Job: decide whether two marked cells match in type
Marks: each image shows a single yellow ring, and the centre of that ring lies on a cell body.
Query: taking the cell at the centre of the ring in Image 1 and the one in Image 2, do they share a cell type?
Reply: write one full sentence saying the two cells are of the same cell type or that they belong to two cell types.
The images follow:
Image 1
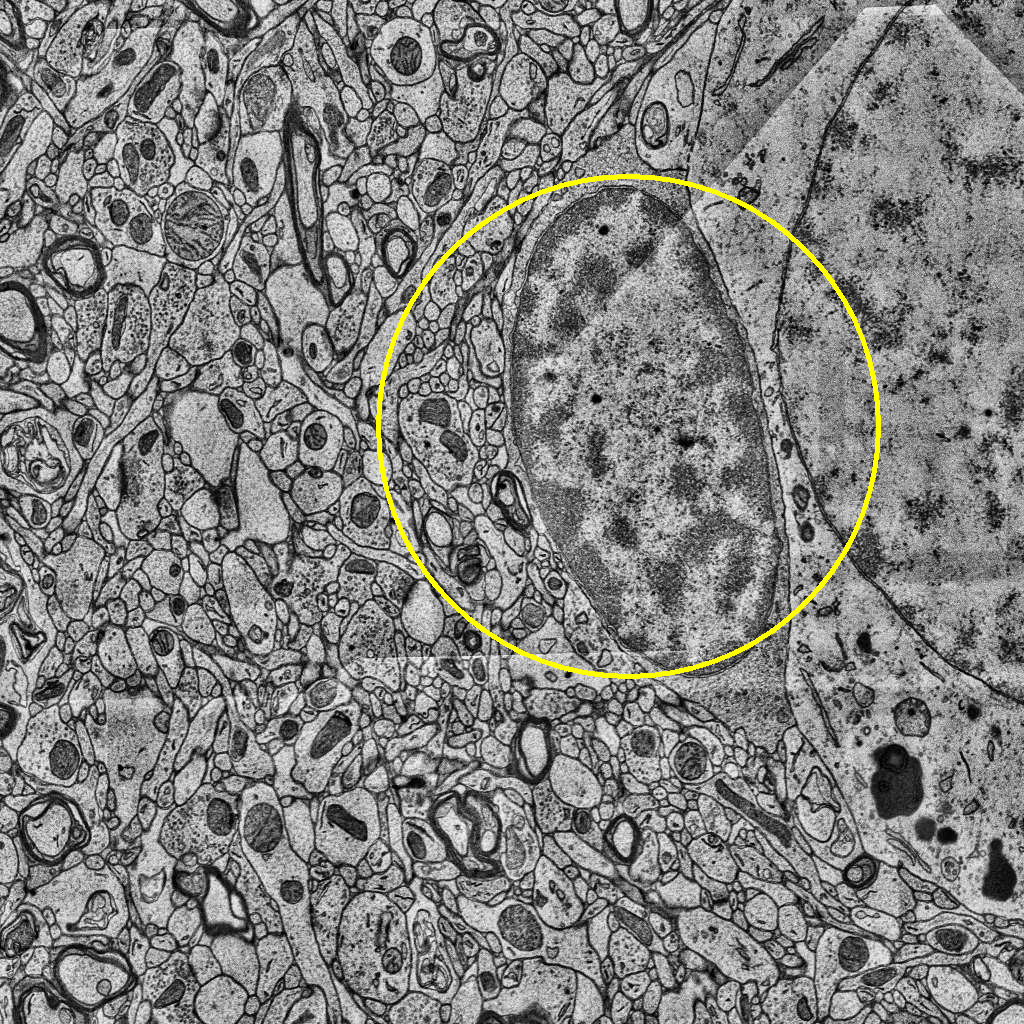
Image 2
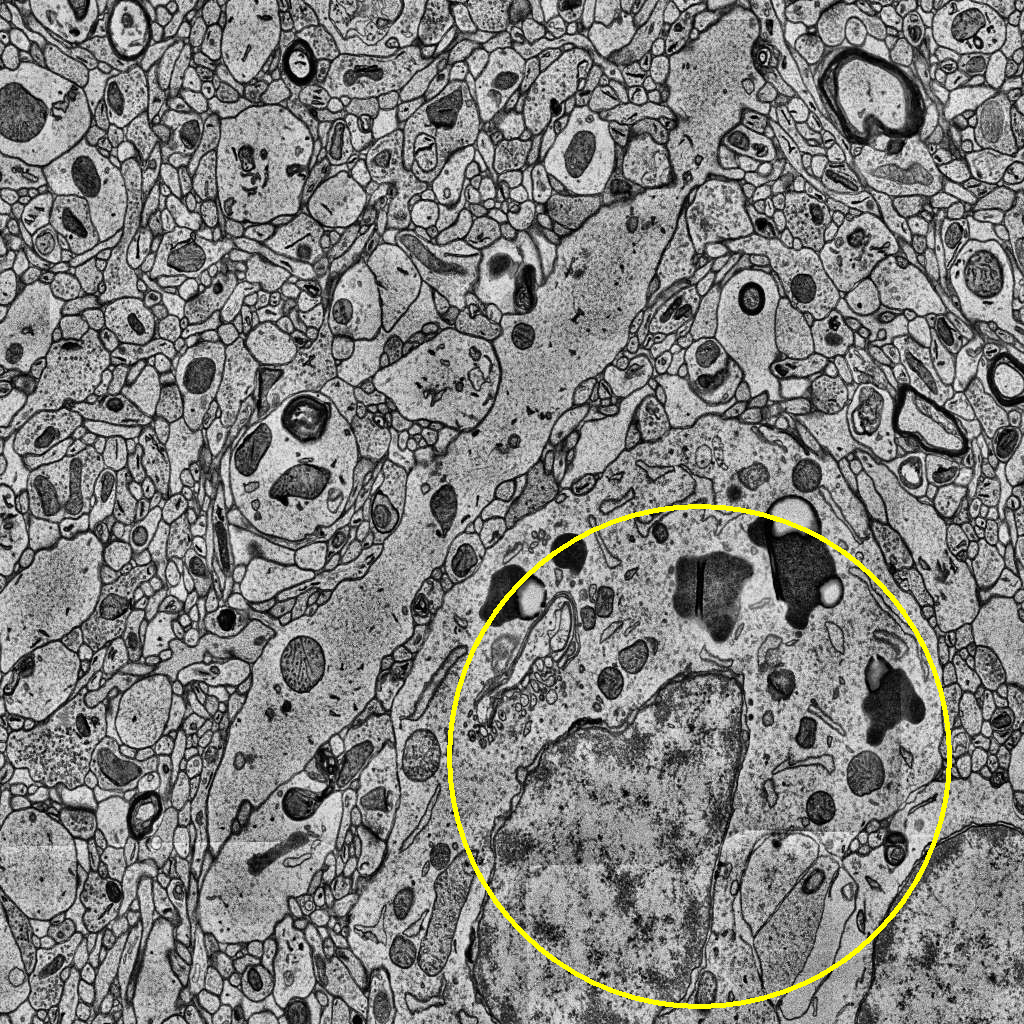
The cells at the ring centres in Image 1 and Image 2 belong to two cell types.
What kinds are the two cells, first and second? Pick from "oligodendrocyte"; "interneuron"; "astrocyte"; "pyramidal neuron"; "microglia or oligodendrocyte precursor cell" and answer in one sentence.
In the first picture it is an oligodendrocyte; in the second it is an interneuron.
